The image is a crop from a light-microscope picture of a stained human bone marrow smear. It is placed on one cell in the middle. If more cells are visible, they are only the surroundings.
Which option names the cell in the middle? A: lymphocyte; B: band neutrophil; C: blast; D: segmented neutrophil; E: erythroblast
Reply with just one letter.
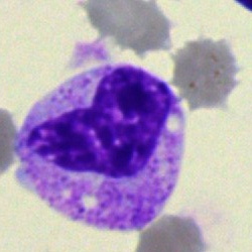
B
